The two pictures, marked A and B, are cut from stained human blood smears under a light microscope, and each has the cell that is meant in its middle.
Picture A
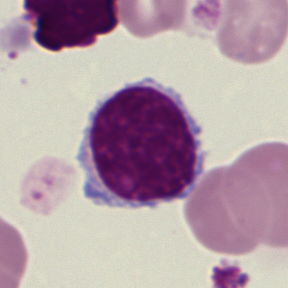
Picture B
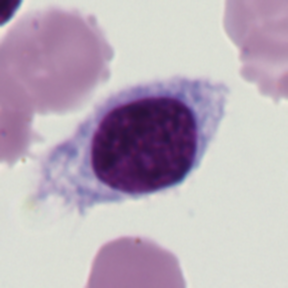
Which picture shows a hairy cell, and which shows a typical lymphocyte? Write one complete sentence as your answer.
It is picture A that shows a typical lymphocyte, and picture B that shows a hairy cell.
